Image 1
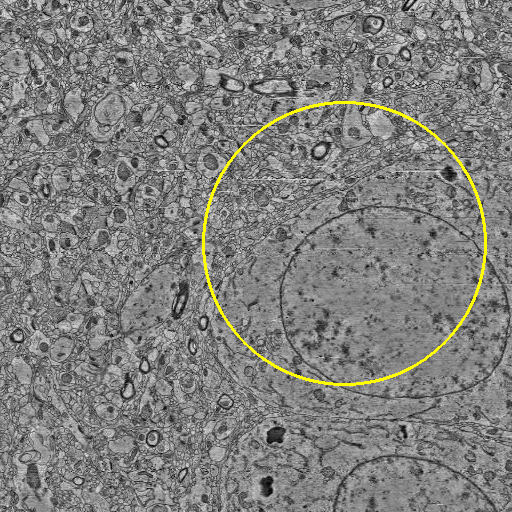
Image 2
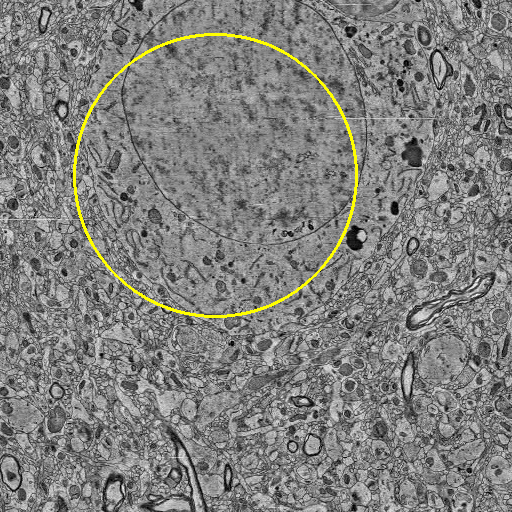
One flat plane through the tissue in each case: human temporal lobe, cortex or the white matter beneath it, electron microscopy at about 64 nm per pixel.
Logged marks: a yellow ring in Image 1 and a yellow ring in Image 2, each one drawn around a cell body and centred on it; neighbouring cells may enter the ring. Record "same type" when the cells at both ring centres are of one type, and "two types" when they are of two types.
same type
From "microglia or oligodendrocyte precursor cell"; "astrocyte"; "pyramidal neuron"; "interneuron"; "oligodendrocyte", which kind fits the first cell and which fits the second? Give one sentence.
In the first picture and in the second, the ring is centred on a pyramidal neuron.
